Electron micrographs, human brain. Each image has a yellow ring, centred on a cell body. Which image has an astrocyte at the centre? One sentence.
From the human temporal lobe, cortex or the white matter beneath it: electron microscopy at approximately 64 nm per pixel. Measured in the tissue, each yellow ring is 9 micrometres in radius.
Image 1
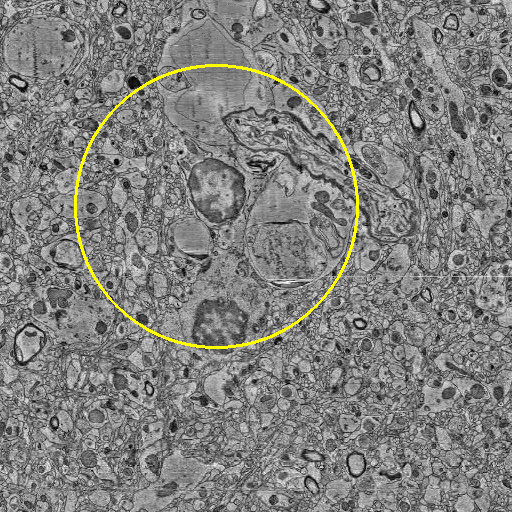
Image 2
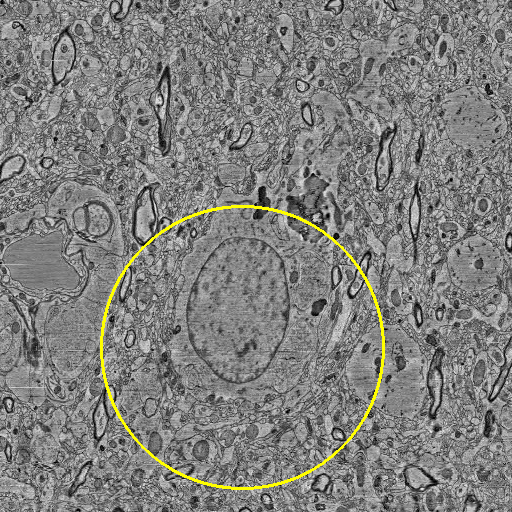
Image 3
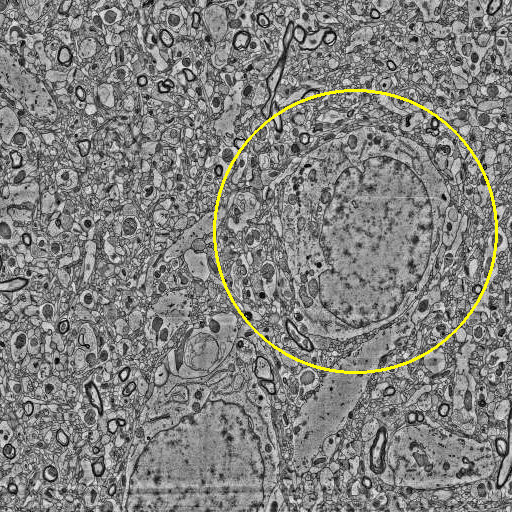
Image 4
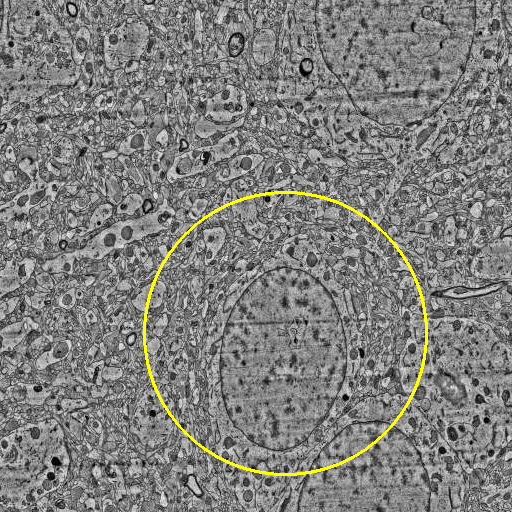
The ring in Image 2 is centred on it.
